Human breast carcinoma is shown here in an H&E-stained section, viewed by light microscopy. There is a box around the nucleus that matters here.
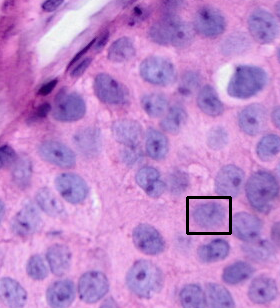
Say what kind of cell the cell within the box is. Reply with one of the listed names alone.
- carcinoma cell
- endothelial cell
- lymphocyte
carcinoma cell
